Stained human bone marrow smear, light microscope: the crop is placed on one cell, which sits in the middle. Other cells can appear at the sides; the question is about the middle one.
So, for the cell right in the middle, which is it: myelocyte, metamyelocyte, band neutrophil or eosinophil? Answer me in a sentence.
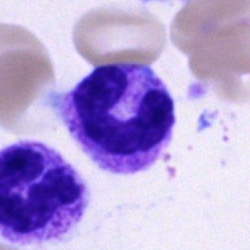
The cell featured at the centre of this crop is a band neutrophil.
